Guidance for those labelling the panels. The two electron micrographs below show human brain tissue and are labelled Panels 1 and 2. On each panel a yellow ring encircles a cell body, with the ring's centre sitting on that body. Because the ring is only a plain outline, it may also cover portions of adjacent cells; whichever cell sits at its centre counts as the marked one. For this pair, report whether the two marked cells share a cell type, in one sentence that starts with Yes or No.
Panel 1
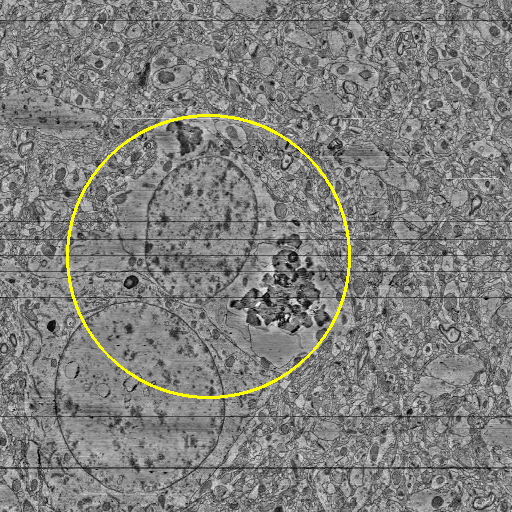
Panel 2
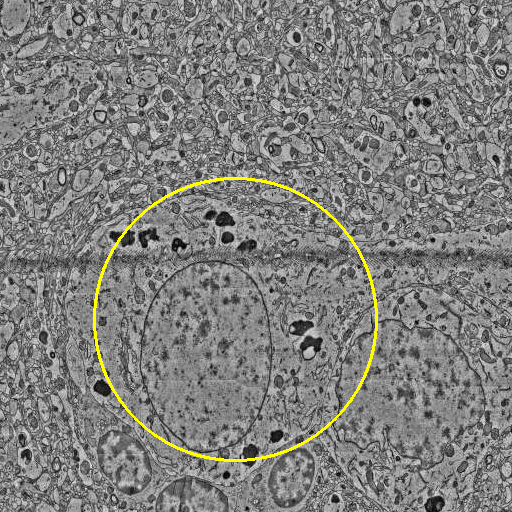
No, in Panel 1 and Panel 2 the marked cells at the ring centres are of two types.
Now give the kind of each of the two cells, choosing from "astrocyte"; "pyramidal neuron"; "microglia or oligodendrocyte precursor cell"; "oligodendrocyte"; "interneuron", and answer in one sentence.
The cell in the first picture is an astrocyte, and the cell in the second is a pyramidal neuron.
